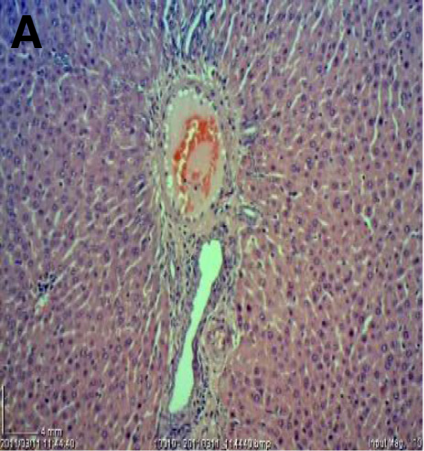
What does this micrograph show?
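This is liver tissue in which the hepatocytes are arranged in cords running between narrow pale sinusoidal spaces. The hepatocytes are polygonal, with pink cytoplasm and round, dark purple nuclei, and they fill the field evenly. In the centre lies a vessel whose lumen holds red blood cells, surrounded by a rim of pale fibrous connective tissue with small dark nuclei. Below it an elongated, clear, empty lumen runs downward, also bordered by a thin cuff of connective tissue. The cords of cells around these vessels look orderly, without pale or broken-down areas.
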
